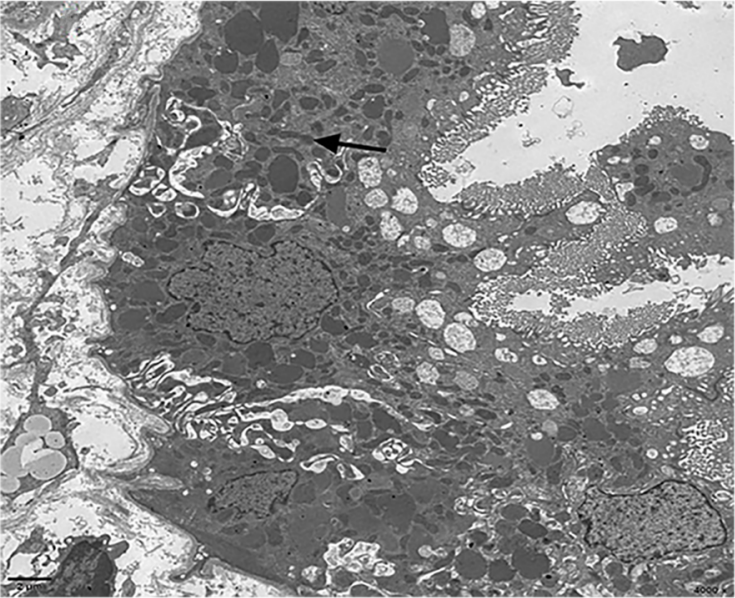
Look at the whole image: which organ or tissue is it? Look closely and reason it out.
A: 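Epithelial cells have a dense brush border of microvilli facing a lumen. Cells rest on a basal side with infolded membranes and connective tissue beyond.
Hence: renal tubule.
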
